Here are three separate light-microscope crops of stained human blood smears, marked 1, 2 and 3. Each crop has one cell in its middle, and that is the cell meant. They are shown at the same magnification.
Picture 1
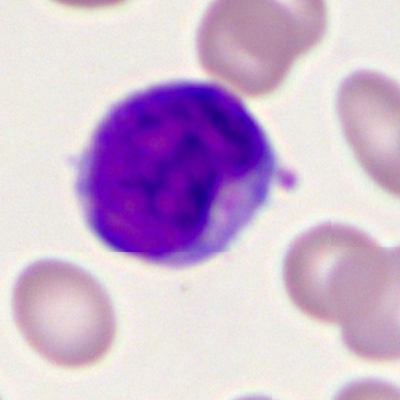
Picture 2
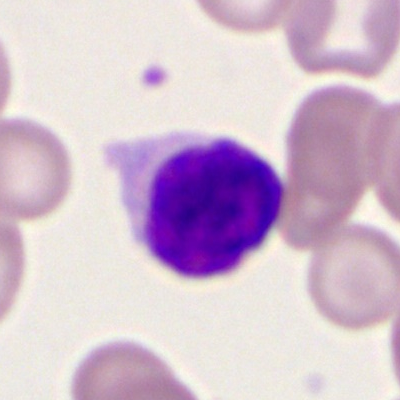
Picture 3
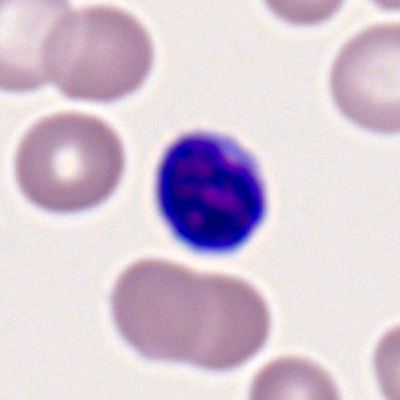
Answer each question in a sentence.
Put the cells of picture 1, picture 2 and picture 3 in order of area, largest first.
From the largest down, the order is 1, 2, 3.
